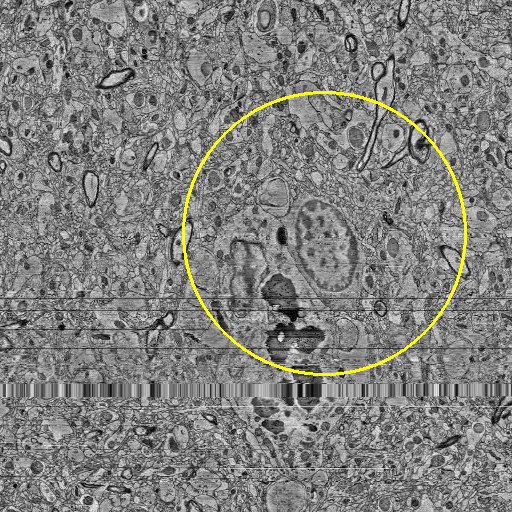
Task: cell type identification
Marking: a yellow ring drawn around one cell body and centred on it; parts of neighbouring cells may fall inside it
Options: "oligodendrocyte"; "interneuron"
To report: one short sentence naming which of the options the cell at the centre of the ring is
The cell at the centre of the ring is an oligodendrocyte.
